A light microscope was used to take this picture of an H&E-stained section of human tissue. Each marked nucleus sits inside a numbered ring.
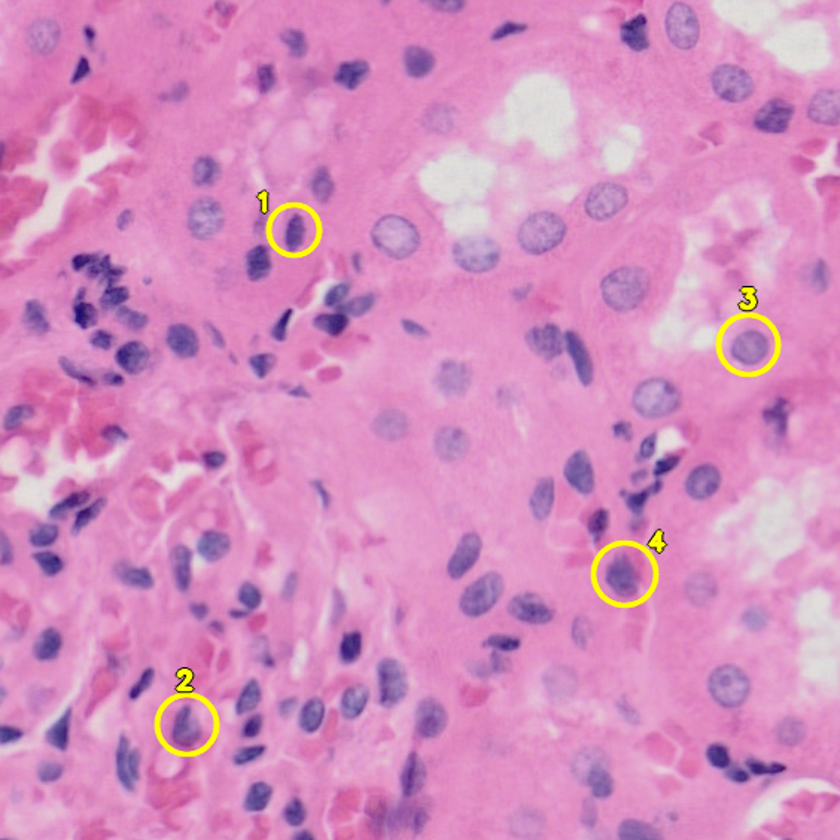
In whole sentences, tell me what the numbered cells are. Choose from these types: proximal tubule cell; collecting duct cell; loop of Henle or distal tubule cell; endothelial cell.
Cell 1 is a loop of Henle or distal tubule cell, cell 2 is an endothelial cell, cell 3 is a proximal tubule cell and cell 4 is an endothelial cell.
